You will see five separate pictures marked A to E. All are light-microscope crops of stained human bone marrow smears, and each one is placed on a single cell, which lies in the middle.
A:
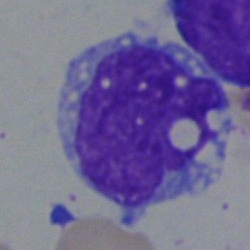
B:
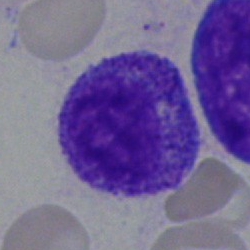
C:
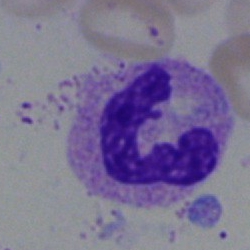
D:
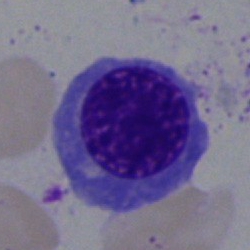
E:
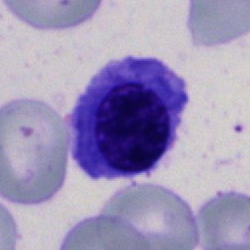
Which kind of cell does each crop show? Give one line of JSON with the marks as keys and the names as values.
{"A": "monocyte", "B": "myelocyte", "C": "segmented neutrophil", "D": "normoblast", "E": "normoblast"}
